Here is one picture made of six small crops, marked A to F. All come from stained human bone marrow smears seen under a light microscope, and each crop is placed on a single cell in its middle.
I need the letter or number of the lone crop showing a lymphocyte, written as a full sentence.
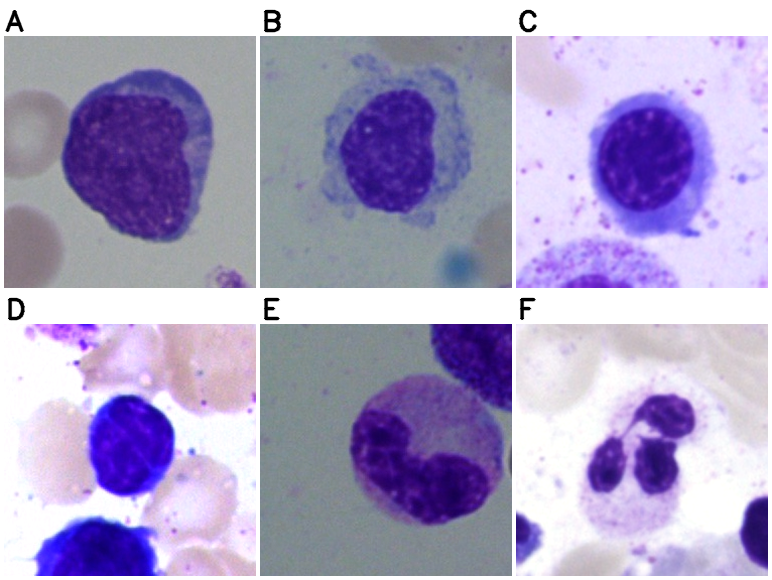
Among the crops given, only crop D shows a lymphocyte.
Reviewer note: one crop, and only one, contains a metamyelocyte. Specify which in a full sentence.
The one that shows a metamyelocyte is crop B.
